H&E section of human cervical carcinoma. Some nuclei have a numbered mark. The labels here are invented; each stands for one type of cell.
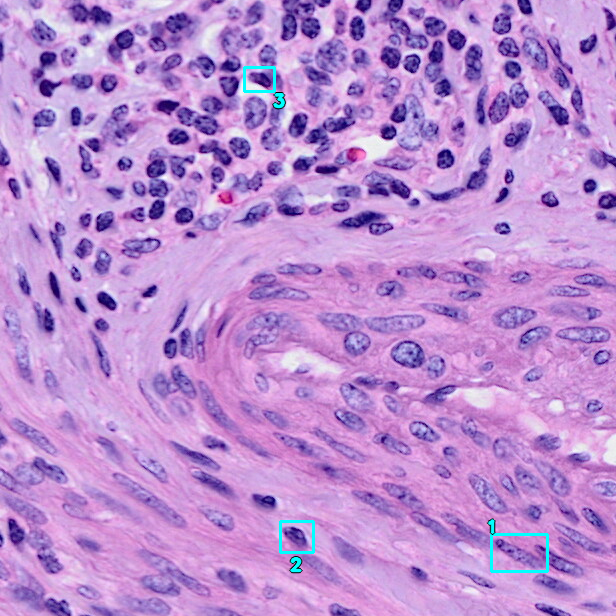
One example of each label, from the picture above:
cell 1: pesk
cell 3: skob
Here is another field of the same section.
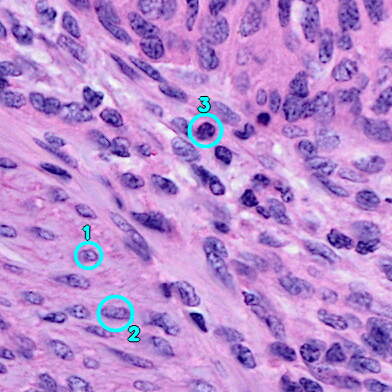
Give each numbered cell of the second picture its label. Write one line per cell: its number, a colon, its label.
1: pesk
2: pesk
3: skob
